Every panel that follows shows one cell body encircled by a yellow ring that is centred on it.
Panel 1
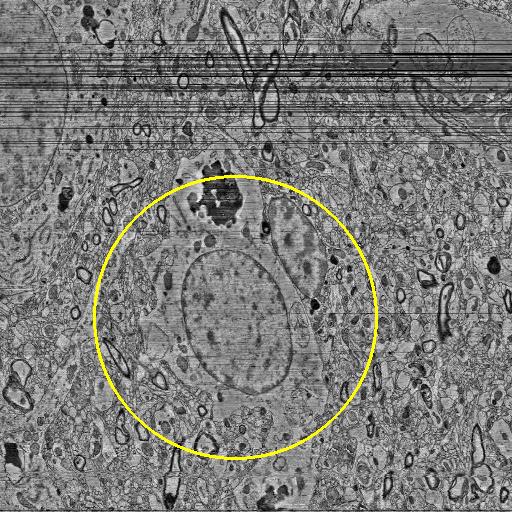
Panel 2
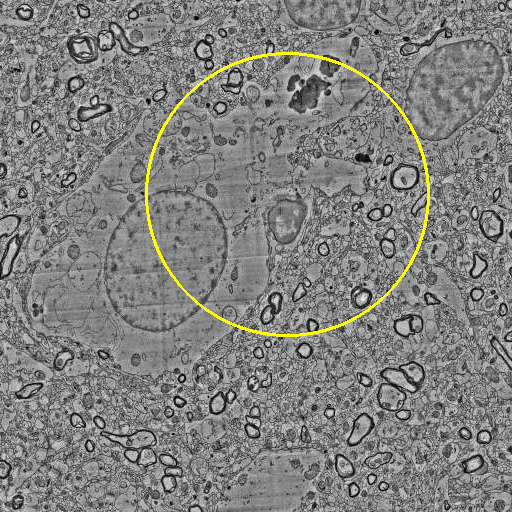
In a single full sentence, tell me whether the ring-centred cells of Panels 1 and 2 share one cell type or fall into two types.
In Panel 1 and Panel 2, the cells at the ring centres fall into two types.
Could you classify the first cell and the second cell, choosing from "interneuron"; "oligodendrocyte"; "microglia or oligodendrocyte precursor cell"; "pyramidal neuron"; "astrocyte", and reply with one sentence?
The second cell is a microglial cell or oligodendrocyte precursor cell, while the first is an astrocyte.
